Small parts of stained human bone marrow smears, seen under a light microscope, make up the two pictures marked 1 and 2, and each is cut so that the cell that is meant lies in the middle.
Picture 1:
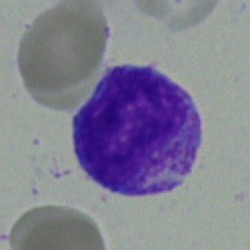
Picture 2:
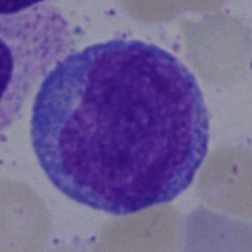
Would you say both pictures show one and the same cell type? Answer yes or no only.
no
